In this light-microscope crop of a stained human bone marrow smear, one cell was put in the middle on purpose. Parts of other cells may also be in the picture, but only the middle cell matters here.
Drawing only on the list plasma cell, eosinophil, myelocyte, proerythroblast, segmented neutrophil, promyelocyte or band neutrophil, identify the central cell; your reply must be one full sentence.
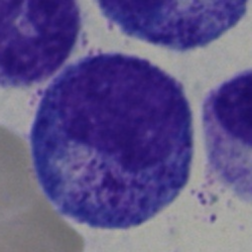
For this crop, the cell in the middle is a promyelocyte.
